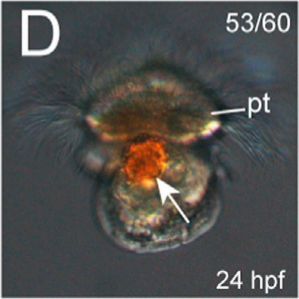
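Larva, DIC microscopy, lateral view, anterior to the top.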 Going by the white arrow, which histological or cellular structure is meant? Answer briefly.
Birefringence materials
